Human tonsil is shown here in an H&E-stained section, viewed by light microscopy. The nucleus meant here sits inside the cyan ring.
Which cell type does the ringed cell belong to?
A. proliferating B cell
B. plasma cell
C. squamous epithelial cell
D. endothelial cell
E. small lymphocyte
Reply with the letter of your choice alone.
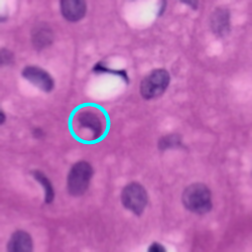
C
